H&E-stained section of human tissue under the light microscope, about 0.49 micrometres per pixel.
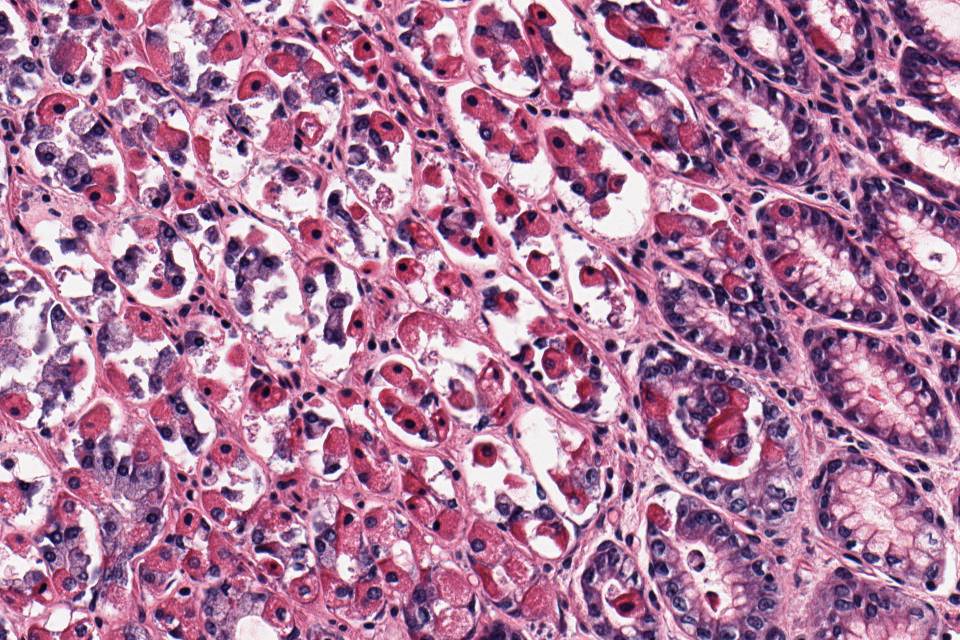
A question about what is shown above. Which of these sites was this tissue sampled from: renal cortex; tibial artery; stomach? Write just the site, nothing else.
stomach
